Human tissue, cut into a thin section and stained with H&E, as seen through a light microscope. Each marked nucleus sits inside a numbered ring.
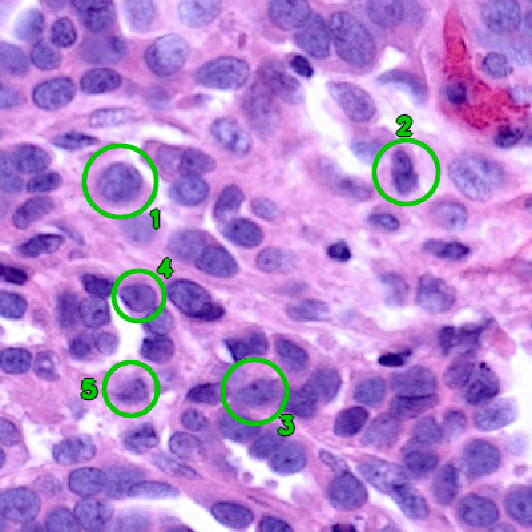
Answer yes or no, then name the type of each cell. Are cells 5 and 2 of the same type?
Yes, cell number 5 and cell number 2 are both macrophages or monocytes.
